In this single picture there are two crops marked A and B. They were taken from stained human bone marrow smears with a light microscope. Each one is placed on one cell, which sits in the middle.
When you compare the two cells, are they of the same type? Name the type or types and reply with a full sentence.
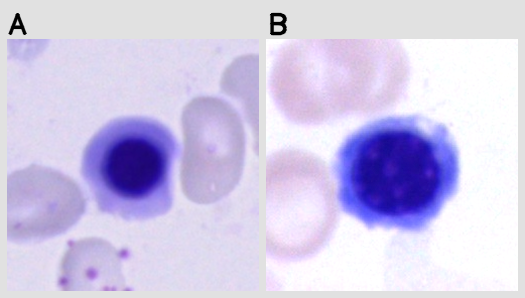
Yes, it is normoblasts that occupy the middle of both crops.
